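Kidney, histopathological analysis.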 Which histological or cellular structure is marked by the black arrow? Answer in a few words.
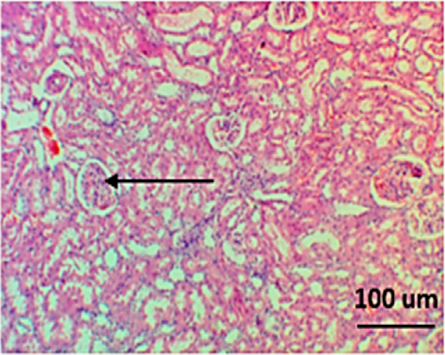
glomeruli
